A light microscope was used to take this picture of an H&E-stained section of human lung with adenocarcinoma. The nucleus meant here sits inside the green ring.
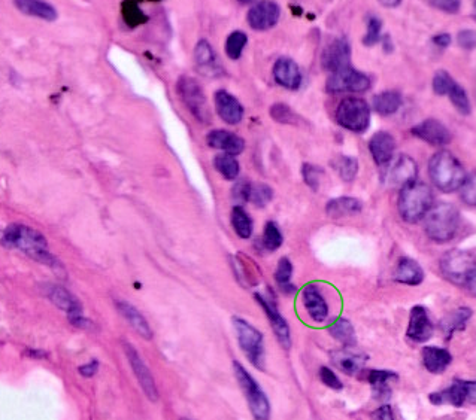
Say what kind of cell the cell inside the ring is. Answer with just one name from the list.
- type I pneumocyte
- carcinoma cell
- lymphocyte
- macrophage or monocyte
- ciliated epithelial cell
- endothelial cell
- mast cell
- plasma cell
mast cell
